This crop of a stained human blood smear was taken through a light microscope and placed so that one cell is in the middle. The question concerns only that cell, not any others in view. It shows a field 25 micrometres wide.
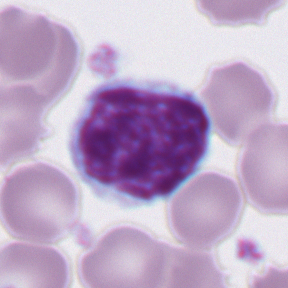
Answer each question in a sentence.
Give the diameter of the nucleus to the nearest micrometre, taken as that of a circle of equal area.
About 10 micrometres: that is the diameter of the nucleus.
